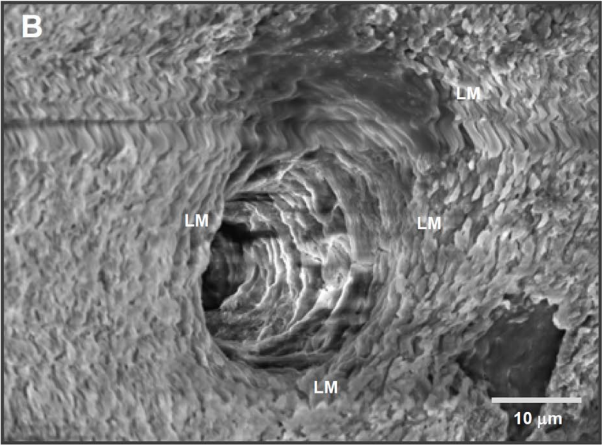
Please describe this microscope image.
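This scanning electron micrograph shows compact bone around a single Haversian canal, the round channel at the centre of an osteon. The canal opens as a dark tunnel whose wall is made of stacked, ring-like layers. Around the opening, the bone matrix forms concentric lamellae with a finely scaled, rough texture. A second smaller cavity lies in the matrix at the lower right.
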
